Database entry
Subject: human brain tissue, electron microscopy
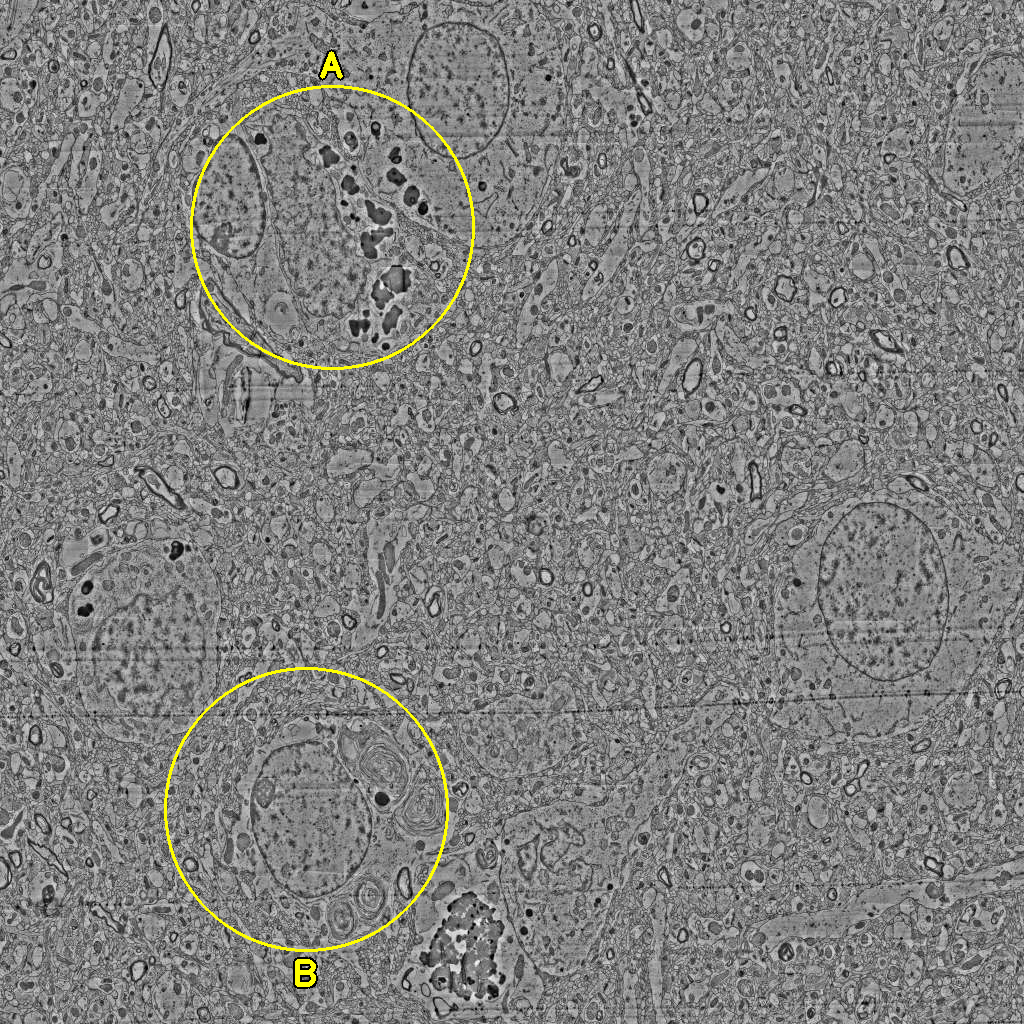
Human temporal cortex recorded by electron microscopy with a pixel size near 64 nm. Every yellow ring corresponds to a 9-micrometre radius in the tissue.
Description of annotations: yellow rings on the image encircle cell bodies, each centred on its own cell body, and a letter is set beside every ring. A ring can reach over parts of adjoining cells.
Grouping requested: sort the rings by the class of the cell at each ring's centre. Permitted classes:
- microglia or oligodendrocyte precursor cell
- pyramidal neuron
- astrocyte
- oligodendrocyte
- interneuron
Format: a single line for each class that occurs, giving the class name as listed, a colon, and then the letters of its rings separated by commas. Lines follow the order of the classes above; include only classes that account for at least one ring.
astrocyte: B
interneuron: A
